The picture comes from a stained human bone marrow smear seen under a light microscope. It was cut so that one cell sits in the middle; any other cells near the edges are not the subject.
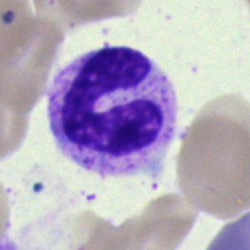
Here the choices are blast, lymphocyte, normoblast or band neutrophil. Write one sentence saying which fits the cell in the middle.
The centrally positioned cell in the crop represents a band neutrophil.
